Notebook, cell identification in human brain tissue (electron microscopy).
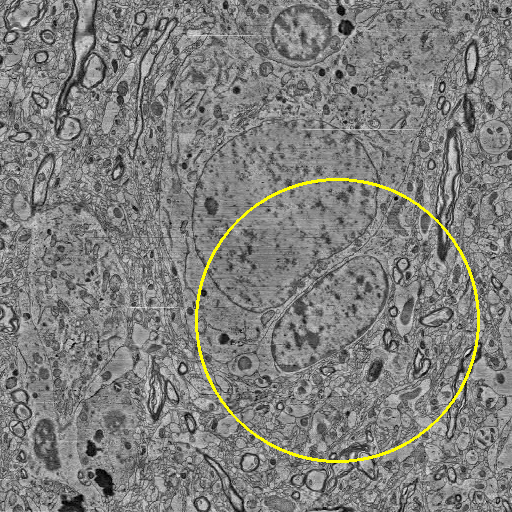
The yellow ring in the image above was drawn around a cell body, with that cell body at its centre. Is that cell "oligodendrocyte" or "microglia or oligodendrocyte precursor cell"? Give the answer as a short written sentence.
The cell in the ring is a microglial cell or oligodendrocyte precursor cell.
